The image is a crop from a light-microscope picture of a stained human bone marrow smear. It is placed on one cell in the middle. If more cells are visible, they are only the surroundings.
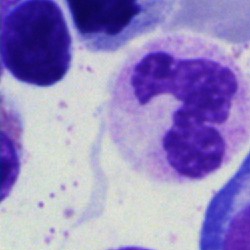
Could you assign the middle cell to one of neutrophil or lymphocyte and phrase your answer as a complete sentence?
The cell in the middle of this crop is a neutrophil.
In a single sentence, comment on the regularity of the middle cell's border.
Edge check done: smooth outline, no projections present.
